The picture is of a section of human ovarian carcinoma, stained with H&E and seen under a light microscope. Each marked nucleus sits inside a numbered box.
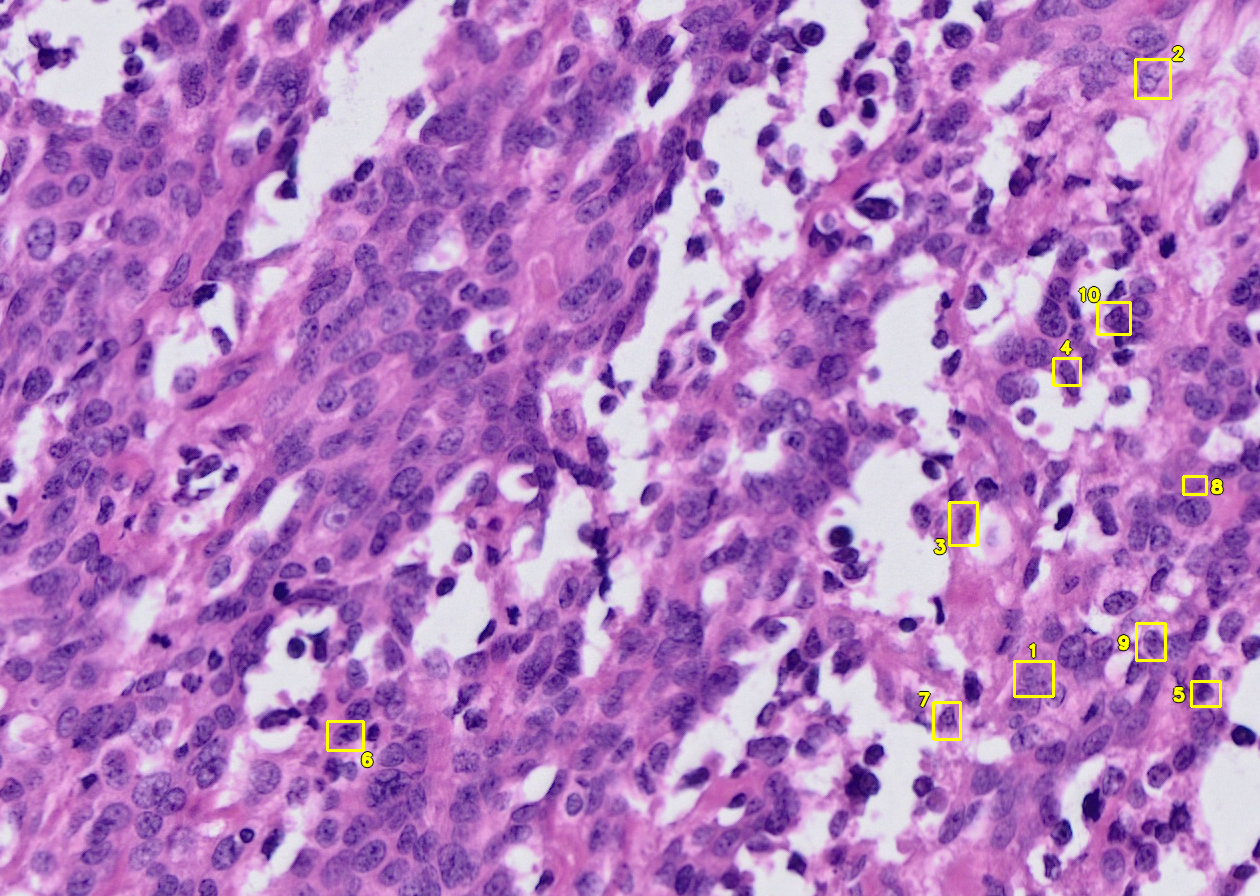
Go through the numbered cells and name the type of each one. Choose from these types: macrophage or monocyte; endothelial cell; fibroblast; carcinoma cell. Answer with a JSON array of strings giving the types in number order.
["carcinoma cell", "macrophage or monocyte", "macrophage or monocyte", "carcinoma cell", "carcinoma cell", "macrophage or monocyte", "macrophage or monocyte", "carcinoma cell", "carcinoma cell", "carcinoma cell"]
